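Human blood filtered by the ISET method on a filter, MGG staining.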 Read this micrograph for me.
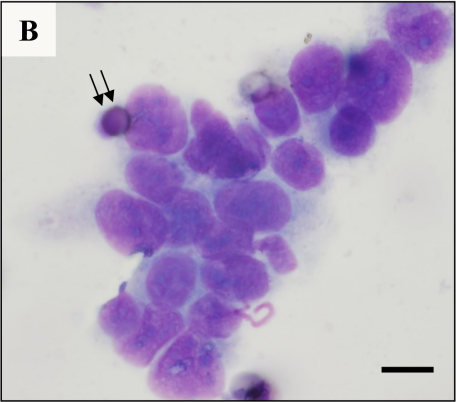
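A tight cluster of about twenty large cells stained purple lies crowded together, many overlapping one another. Each cell has a large oval to irregular nucleus with finely granular chromatin and only scant pale cytoplasm around it. The nuclei vary in size and shape, and the cells pile up without an orderly arrangement.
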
